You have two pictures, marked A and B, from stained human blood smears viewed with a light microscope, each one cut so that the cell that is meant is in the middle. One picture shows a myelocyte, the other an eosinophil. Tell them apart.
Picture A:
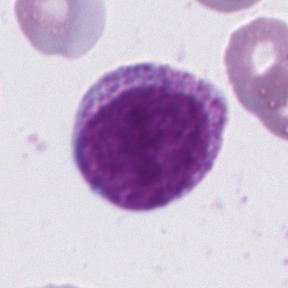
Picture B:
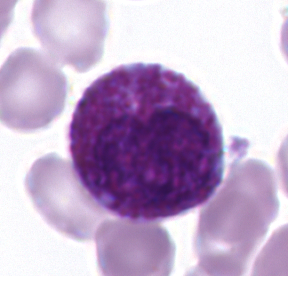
A: myelocyte
B: eosinophil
